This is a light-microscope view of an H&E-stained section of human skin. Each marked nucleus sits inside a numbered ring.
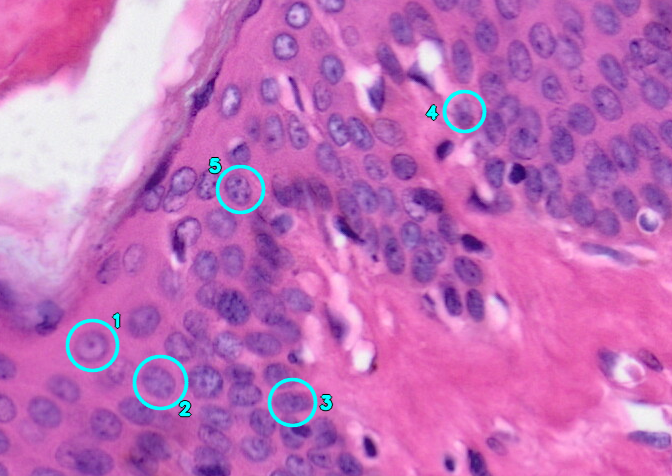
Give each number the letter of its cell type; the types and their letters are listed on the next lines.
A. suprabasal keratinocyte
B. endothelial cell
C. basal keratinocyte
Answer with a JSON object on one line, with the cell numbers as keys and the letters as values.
{"1": "A", "2": "A", "3": "C", "4": "C", "5": "A"}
